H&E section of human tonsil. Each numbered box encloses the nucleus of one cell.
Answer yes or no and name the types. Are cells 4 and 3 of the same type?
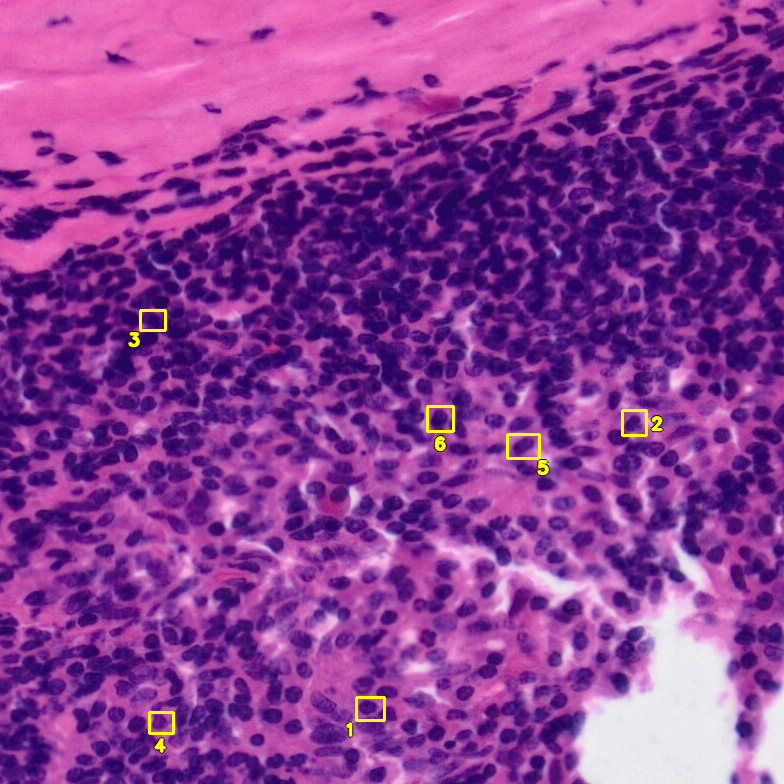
Yes, cells 4 and 3 are both identified as small lymphocytes.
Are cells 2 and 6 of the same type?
Yes, that is correct, cells 2 and 6 are both plasma cells.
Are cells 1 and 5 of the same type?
Yes, regarding cells 1 and 5, both are plasma cells.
